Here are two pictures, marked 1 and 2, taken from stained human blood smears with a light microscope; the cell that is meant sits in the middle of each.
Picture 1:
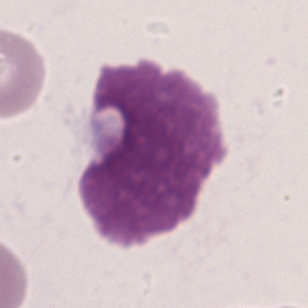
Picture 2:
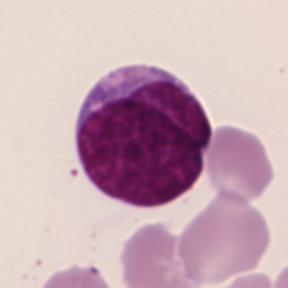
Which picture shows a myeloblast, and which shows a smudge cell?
1: smudge cell
2: myeloblast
